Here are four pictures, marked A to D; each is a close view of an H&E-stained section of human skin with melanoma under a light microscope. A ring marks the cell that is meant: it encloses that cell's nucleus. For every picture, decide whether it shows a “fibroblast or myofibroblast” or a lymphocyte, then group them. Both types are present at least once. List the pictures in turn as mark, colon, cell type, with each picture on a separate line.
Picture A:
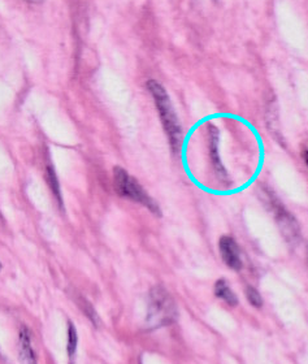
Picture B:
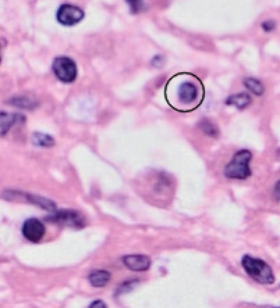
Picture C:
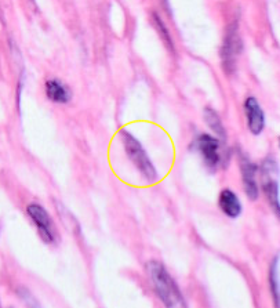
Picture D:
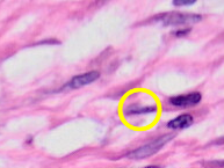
A: fibroblast or myofibroblast
B: lymphocyte
C: fibroblast or myofibroblast
D: fibroblast or myofibroblast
